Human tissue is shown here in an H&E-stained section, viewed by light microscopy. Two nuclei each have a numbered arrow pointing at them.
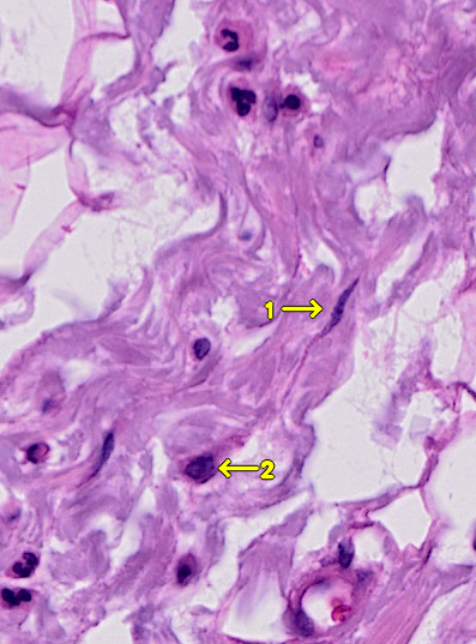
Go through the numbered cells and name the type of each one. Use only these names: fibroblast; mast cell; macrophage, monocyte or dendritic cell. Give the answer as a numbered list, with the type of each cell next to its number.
1. fibroblast
2. macrophage, monocyte or dendritic cell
